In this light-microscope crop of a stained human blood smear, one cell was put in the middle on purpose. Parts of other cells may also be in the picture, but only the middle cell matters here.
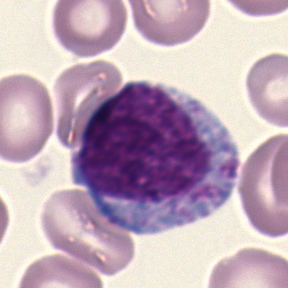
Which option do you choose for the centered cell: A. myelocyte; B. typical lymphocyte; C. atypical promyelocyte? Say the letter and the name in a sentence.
Option A is correct here, and the cell in the middle is a myelocyte.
